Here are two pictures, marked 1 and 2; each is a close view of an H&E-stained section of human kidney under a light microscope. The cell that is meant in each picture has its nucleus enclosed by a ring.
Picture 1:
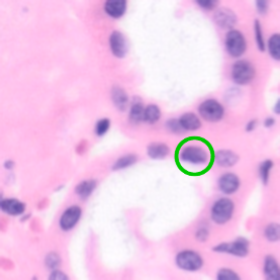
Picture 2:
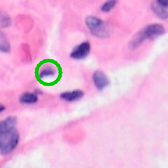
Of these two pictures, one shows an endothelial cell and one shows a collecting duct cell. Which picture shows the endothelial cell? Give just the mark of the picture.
2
